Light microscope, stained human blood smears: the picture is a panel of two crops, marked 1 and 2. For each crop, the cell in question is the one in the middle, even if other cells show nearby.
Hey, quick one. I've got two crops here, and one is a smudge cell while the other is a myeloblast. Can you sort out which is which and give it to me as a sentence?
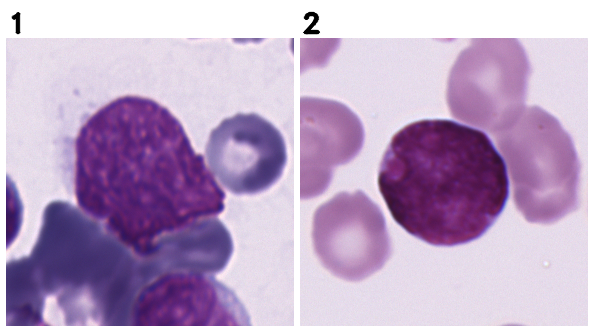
The cell of interest in crop 1 is a smudge cell, and in crop 2 it is a myeloblast.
